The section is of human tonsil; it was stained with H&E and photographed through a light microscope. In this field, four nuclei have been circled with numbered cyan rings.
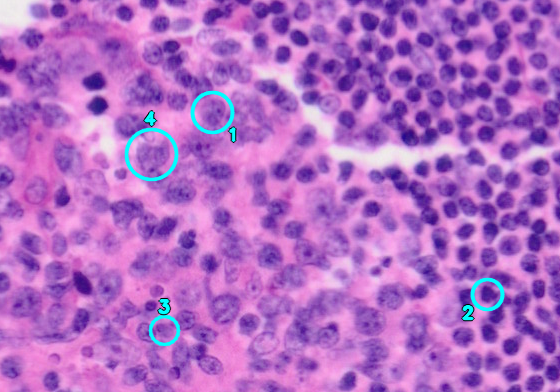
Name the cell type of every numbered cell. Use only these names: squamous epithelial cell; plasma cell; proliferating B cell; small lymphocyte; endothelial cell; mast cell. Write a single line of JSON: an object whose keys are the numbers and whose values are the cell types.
{"1": "proliferating B cell", "2": "small lymphocyte", "3": "proliferating B cell", "4": "proliferating B cell"}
